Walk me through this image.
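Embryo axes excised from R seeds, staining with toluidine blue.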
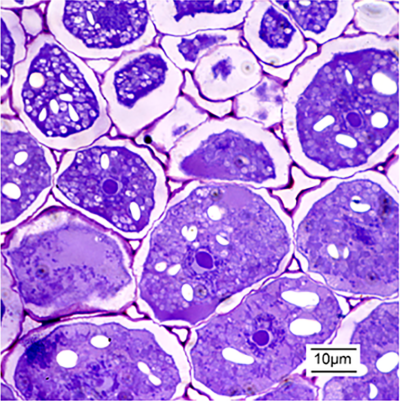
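The cytoplasm stains purple and is filled with small granular bodies, interspersed with clear white spaces of various sizes. Many cells show a rounded nucleus near the centre, with a small, dark, sharply outlined nucleolus inside it. Between neighbouring cells the walls meet in thin dark lines, and small gaps appear at some cell corners.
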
